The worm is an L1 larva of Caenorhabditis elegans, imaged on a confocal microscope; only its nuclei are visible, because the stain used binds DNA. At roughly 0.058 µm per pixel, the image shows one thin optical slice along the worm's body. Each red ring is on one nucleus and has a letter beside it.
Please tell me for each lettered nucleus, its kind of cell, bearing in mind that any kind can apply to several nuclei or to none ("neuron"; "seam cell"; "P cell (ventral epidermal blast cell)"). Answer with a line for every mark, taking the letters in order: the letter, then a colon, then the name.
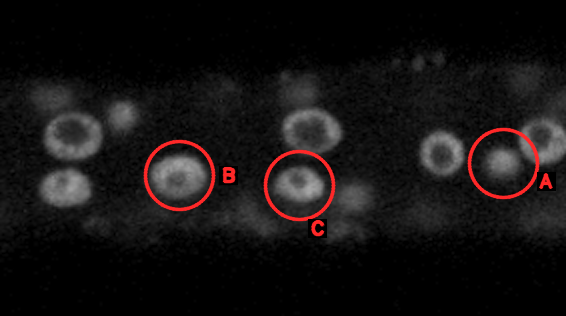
A: neuron
B: seam cell
C: P cell (ventral epidermal blast cell)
